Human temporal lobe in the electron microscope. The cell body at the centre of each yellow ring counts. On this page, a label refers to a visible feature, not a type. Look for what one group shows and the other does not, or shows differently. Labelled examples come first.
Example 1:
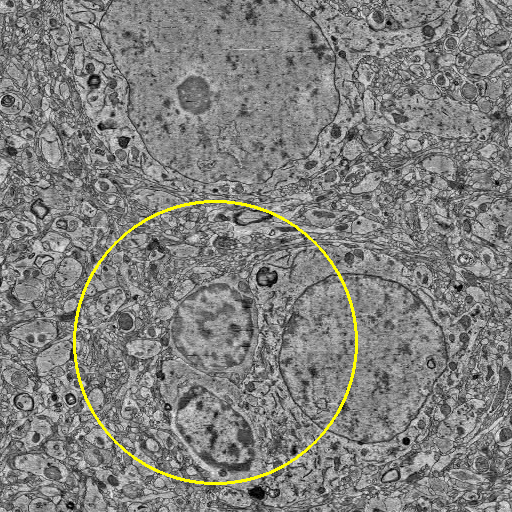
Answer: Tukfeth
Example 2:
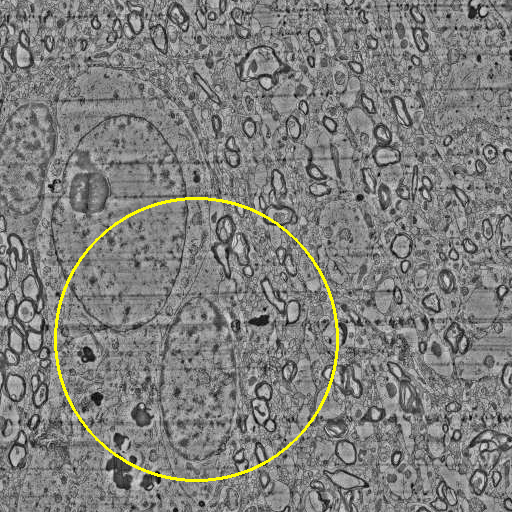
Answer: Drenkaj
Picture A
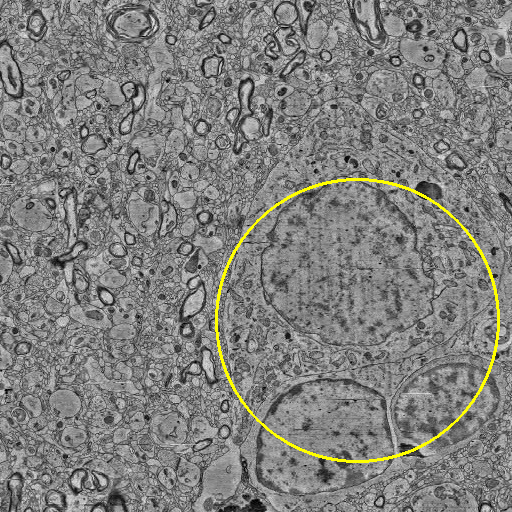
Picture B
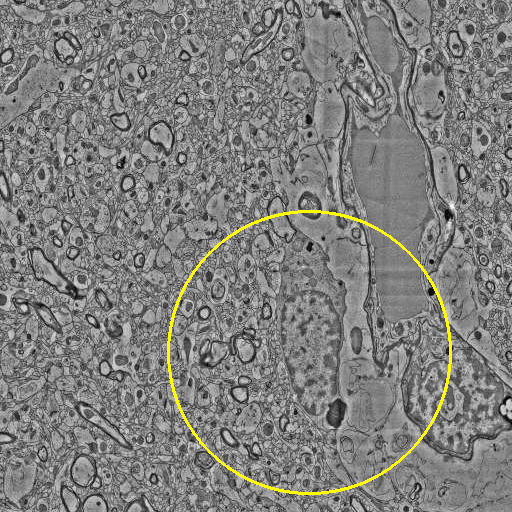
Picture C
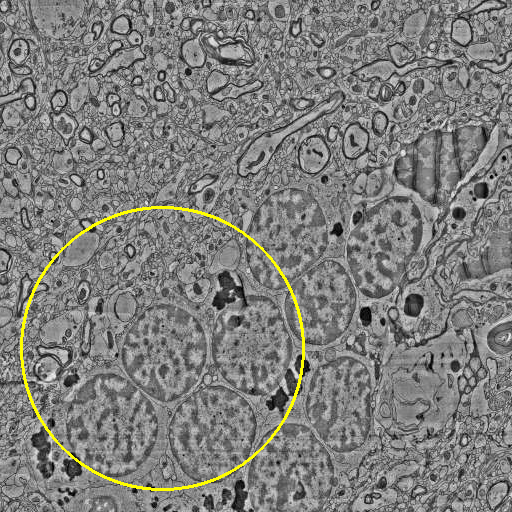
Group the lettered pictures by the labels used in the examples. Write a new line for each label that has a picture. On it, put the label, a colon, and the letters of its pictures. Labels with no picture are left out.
Tukfeth: A, C
Drenkaj: B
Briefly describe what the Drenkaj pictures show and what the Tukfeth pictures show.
Drenkaj: clearly elongated nuclei; Tukfeth: round or nearly round nuclei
